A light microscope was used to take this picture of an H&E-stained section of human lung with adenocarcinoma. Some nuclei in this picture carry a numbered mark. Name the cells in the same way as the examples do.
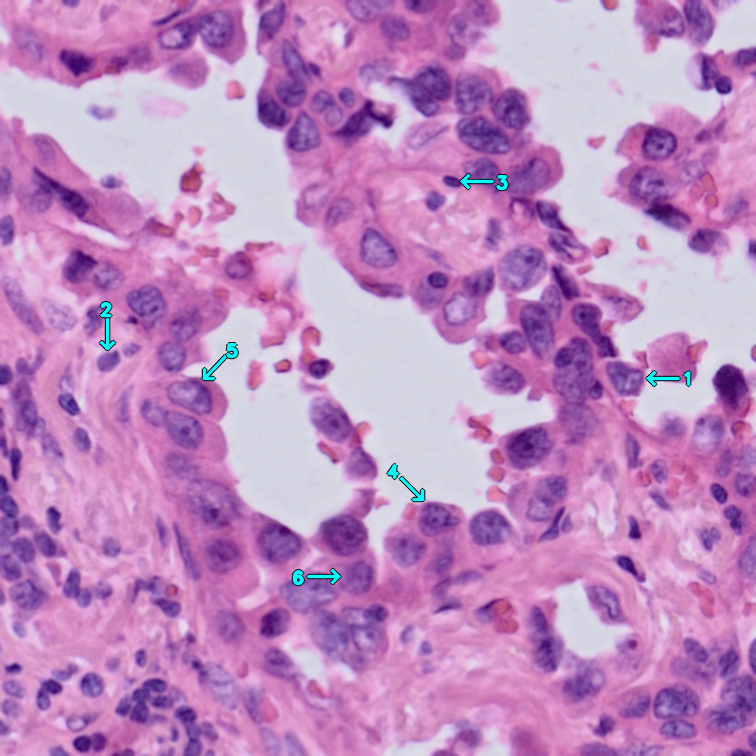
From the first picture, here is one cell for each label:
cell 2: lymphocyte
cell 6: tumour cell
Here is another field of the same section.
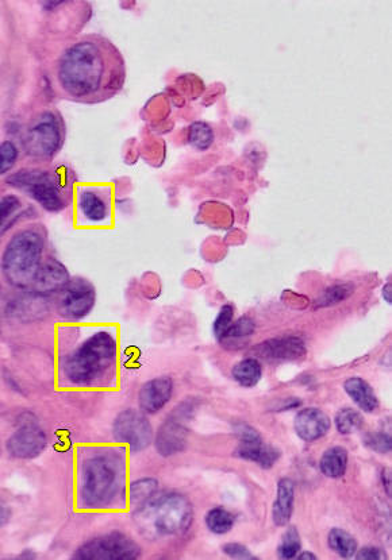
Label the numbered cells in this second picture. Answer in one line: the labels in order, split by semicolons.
lymphocyte; tumour cell; tumour cell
